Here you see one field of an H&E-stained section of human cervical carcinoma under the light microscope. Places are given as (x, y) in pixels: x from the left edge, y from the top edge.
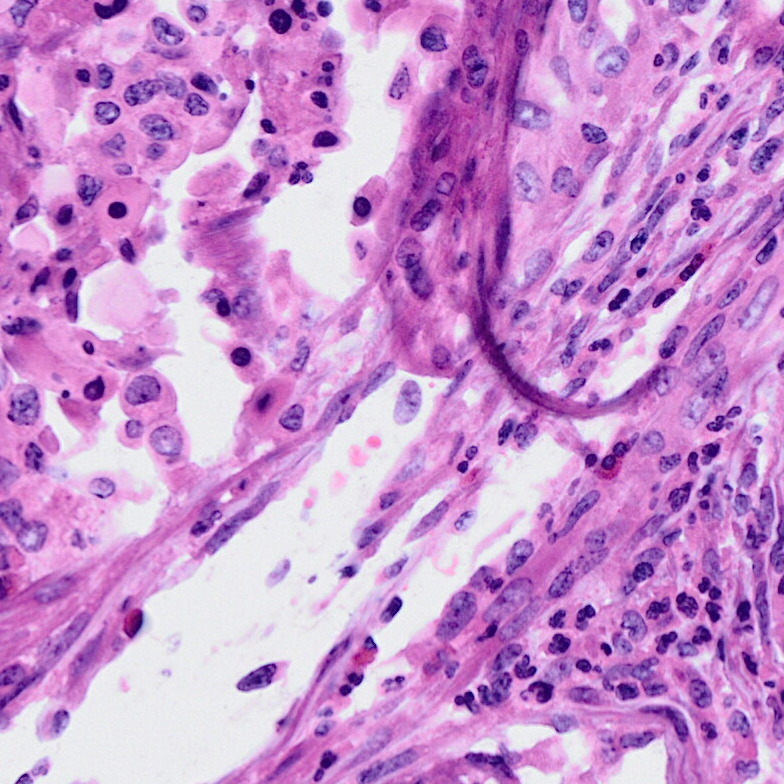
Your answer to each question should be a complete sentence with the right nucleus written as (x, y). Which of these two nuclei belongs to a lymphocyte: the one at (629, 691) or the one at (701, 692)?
Of these two nuclei, only the one at (629, 691) belongs to a lymphocyte.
